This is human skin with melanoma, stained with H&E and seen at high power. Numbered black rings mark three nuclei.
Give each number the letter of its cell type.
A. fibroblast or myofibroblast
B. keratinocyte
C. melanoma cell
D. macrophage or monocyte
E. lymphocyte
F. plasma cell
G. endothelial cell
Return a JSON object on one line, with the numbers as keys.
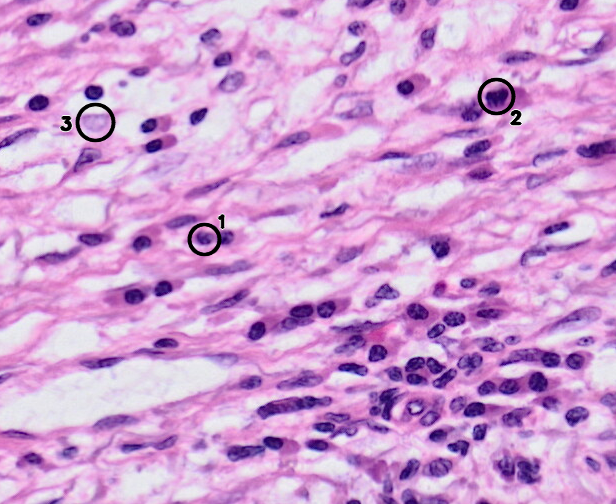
{"1": "F", "2": "F", "3": "A"}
